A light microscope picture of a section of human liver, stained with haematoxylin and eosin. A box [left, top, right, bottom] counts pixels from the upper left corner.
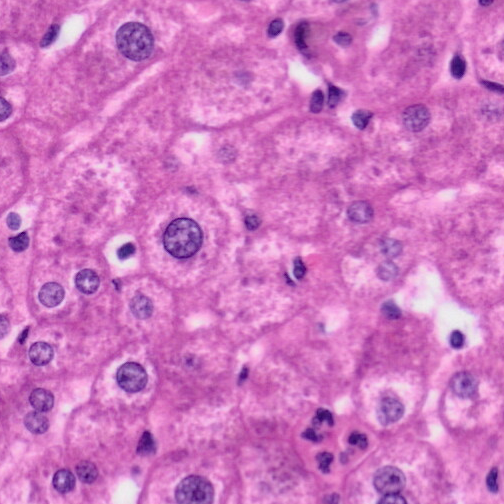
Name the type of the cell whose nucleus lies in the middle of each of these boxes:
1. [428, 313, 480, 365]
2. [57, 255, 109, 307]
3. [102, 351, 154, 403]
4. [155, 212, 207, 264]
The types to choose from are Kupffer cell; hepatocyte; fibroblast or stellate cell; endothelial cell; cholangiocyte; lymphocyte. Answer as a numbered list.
1. lymphocyte
2. hepatocyte
3. hepatocyte
4. hepatocyte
